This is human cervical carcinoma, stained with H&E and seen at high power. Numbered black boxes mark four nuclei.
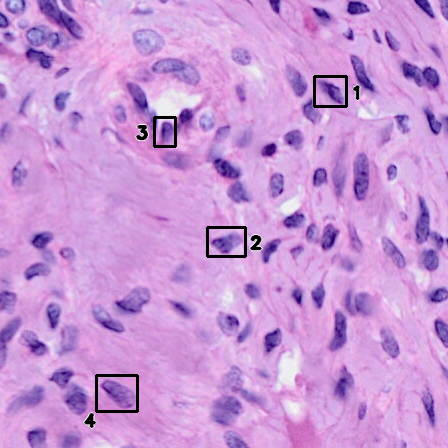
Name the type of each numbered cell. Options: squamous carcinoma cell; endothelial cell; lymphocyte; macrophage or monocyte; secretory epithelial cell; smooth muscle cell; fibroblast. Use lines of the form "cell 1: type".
cell 1: fibroblast
cell 2: fibroblast
cell 3: endothelial cell
cell 4: fibroblast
